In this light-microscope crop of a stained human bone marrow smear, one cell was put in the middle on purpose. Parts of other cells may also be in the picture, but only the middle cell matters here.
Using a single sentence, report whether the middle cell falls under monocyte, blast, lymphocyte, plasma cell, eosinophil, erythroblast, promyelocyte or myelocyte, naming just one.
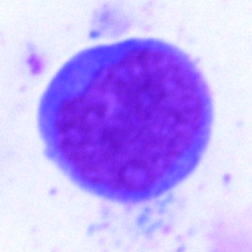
What the crop centres on is a blast.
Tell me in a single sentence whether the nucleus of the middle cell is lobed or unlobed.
A single compact nucleus is present, shaped round, oval or like a kidney.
